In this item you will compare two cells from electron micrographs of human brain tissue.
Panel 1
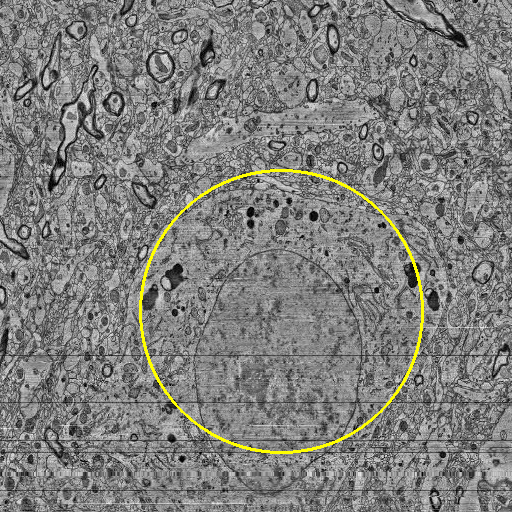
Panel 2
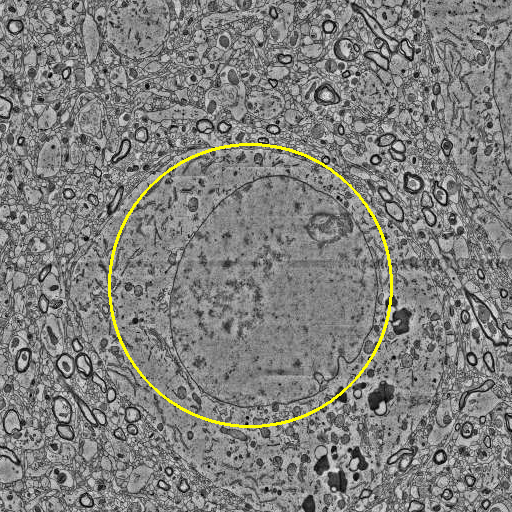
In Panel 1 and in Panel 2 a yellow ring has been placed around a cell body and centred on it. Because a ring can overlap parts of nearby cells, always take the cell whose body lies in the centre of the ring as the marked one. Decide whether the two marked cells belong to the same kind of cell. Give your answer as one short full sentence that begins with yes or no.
Yes, the two marked cells belong to the same kind of cell.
